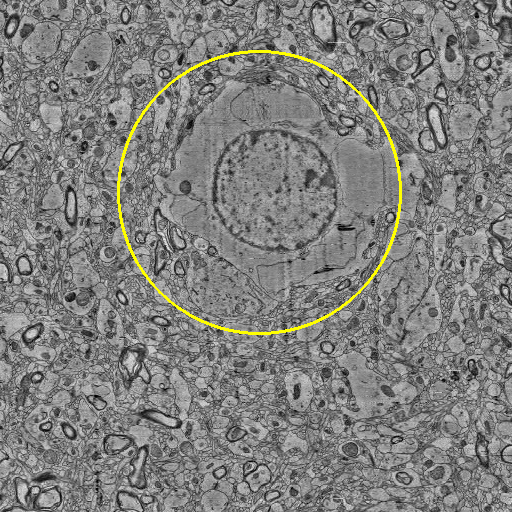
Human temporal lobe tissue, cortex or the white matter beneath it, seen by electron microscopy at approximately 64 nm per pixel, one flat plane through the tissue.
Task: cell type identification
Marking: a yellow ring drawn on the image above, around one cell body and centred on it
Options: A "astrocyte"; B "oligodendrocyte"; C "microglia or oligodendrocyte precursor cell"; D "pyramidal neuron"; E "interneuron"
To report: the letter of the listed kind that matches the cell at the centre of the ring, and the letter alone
A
